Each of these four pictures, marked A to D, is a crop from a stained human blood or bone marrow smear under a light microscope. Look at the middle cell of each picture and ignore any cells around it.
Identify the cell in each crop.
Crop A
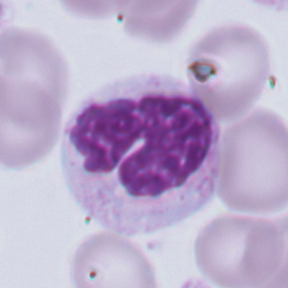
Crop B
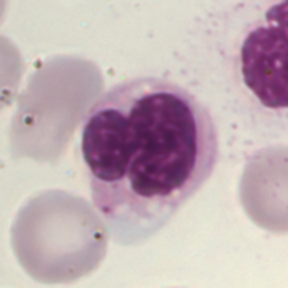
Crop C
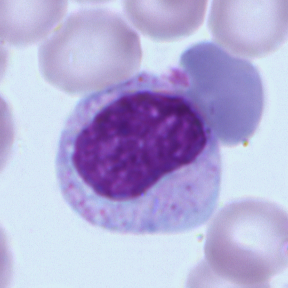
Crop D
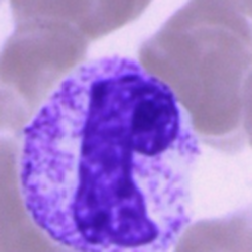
A: band neutrophil
B: band neutrophil
C: metamyelocyte
D: band neutrophil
